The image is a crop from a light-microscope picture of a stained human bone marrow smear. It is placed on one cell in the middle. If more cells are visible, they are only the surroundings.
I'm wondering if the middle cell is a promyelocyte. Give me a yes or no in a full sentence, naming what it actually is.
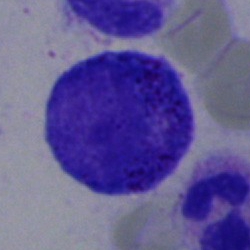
Yes, the cell that lies centrally is a promyelocyte.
